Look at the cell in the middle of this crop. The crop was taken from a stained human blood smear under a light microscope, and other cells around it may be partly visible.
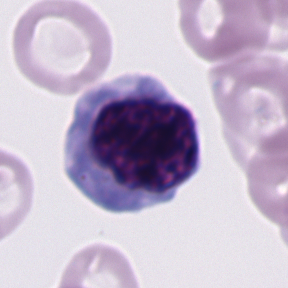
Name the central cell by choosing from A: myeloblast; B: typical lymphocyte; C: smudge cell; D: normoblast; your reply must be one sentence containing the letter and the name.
Option D is correct, naming the cell in the middle as a normoblast.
